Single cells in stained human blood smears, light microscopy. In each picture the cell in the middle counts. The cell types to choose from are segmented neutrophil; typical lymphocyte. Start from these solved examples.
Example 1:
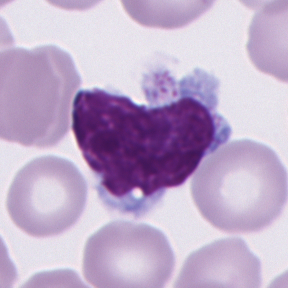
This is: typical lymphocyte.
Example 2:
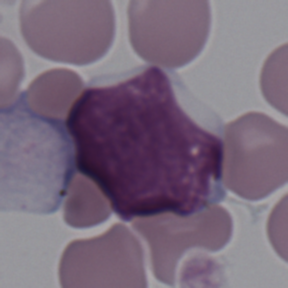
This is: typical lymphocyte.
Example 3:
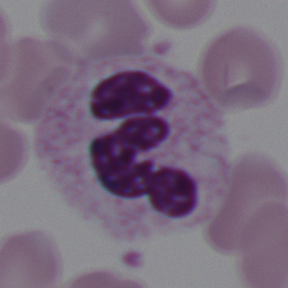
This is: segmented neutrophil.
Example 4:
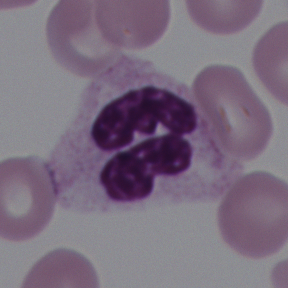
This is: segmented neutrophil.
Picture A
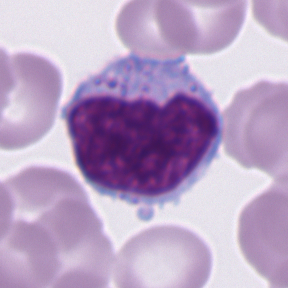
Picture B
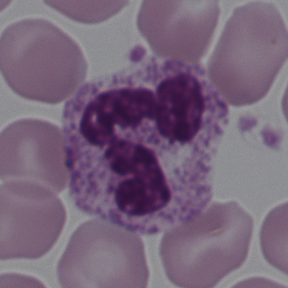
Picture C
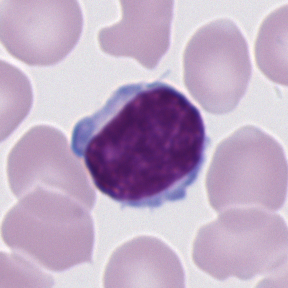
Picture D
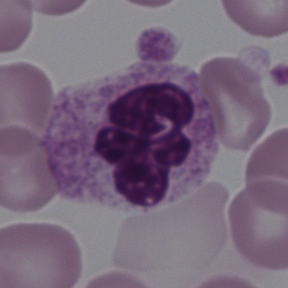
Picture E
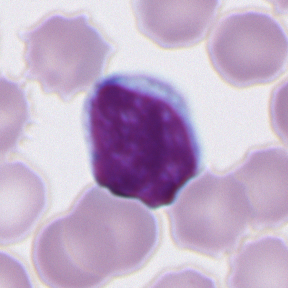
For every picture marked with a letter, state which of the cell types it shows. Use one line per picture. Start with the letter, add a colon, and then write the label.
A: typical lymphocyte.
B: segmented neutrophil.
C: typical lymphocyte.
D: segmented neutrophil.
E: typical lymphocyte.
